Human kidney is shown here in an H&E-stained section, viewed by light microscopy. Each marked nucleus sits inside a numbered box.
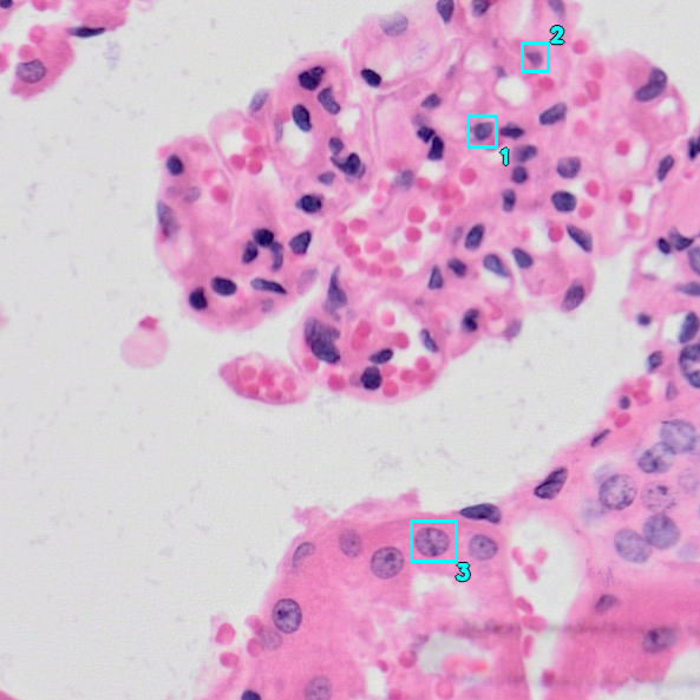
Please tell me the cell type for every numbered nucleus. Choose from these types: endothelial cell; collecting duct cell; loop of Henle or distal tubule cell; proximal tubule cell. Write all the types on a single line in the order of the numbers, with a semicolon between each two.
endothelial cell; endothelial cell; proximal tubule cell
